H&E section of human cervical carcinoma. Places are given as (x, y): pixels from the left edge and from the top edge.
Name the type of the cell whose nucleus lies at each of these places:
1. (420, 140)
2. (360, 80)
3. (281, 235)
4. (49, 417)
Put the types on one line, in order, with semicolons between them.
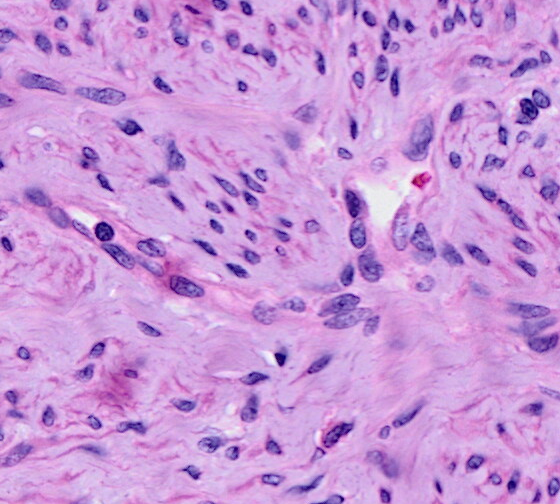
endothelial cell; smooth muscle cell; smooth muscle cell; smooth muscle cell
